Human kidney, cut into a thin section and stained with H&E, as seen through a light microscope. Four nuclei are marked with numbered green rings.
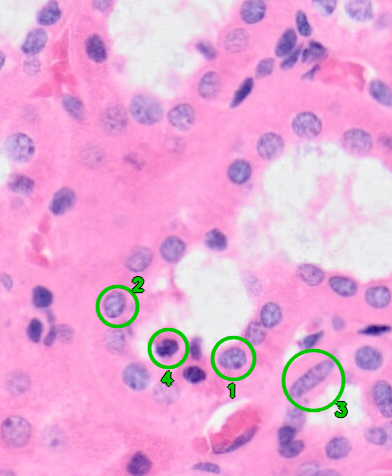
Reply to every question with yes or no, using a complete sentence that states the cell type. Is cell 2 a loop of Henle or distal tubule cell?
Yes, a loop of Henle or distal tubule cell is what the cell numbered 2 is.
